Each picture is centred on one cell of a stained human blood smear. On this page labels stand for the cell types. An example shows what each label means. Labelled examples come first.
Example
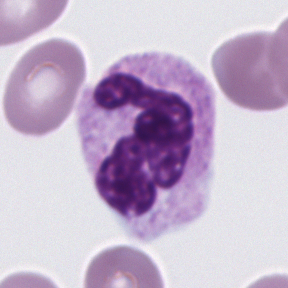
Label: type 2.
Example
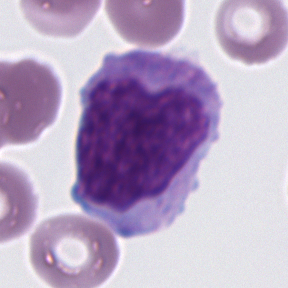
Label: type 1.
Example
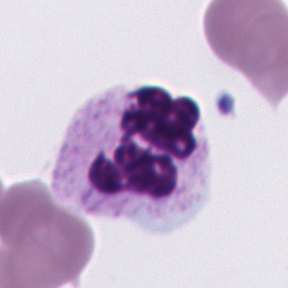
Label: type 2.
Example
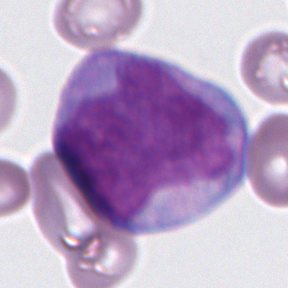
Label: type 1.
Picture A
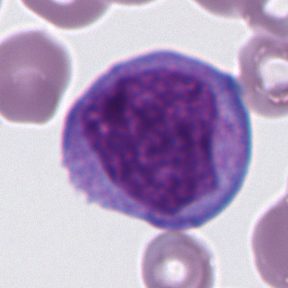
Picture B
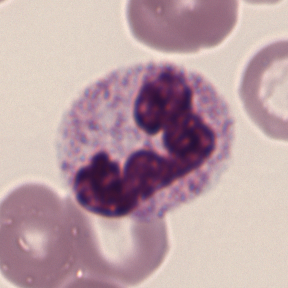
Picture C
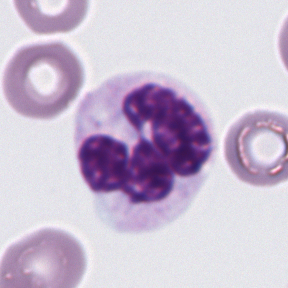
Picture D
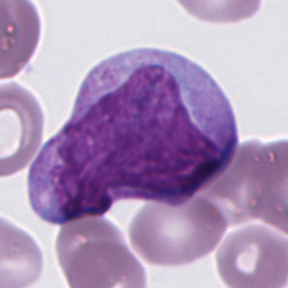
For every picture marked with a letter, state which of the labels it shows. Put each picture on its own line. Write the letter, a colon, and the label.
A: type 1.
B: type 2.
C: type 2.
D: type 1.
